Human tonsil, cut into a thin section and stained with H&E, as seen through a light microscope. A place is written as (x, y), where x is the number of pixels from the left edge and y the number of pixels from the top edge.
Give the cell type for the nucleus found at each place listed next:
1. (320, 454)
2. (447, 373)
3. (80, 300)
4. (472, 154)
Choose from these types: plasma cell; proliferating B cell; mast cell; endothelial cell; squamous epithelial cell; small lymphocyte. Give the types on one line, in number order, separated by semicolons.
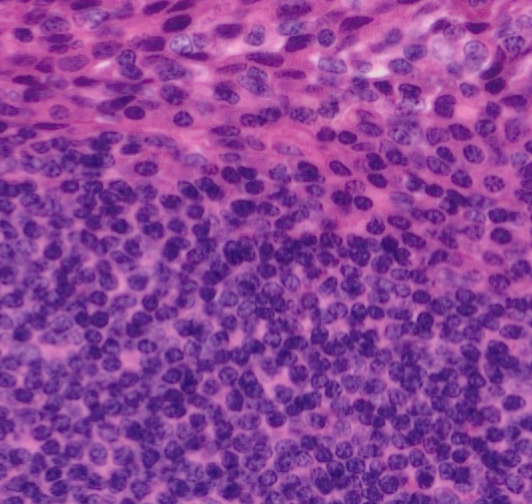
small lymphocyte; small lymphocyte; small lymphocyte; plasma cell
